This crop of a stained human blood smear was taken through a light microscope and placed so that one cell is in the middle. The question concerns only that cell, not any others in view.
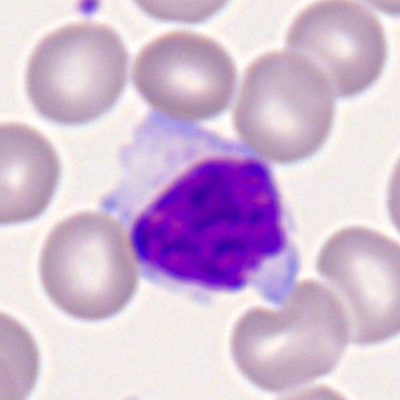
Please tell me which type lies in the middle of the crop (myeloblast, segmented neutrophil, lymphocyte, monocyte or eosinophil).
lymphocyte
